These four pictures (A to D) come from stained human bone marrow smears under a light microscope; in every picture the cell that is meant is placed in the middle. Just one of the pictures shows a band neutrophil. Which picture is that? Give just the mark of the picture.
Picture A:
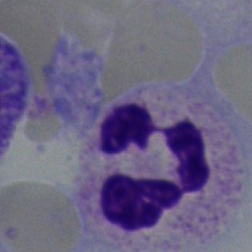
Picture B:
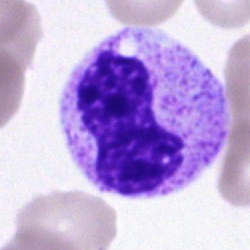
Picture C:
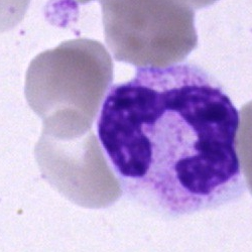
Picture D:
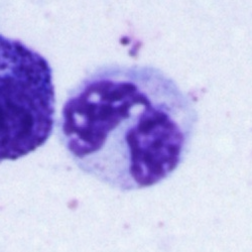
B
